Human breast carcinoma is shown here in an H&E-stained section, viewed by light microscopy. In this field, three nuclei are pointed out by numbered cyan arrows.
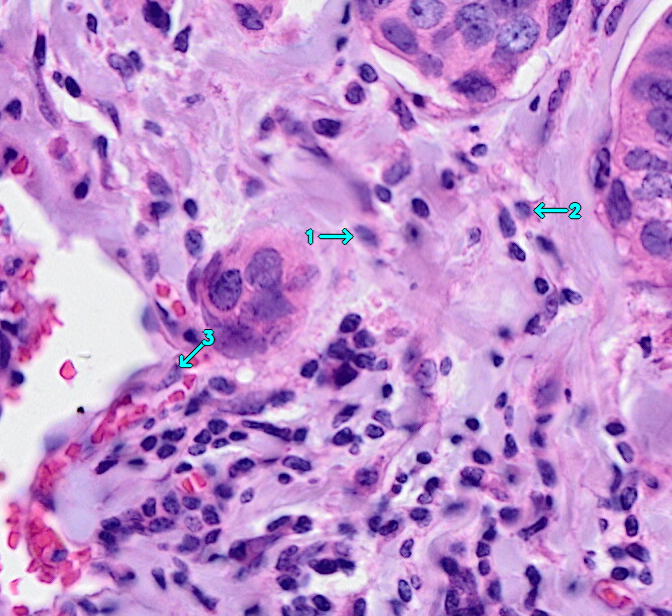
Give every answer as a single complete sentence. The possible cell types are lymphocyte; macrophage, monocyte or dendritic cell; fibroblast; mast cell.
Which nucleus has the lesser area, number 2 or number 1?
The smaller nucleus is 2, and 1 covers roughly 1.5 times its area.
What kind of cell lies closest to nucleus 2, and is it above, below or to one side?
Lying below and to the left of nucleus 2, the nearest nucleus is that of a lymphocyte.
